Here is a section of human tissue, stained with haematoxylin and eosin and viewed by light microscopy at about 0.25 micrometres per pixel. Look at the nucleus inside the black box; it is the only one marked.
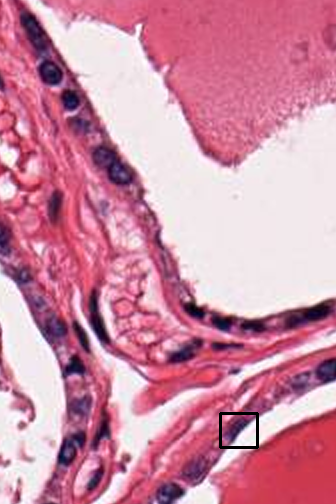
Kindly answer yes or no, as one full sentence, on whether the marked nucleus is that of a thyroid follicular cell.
Yes, the nucleus shown with the mark belongs to a thyroid follicular cell.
